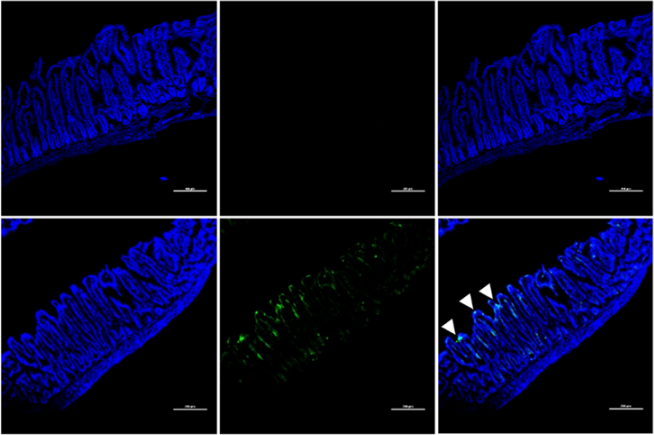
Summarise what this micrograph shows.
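Section of small intestinal wall showing tall, slender villi standing in a regular parallel row. Each villus is lined by a continuous layer of epithelial cells whose nuclei form a dense blue border, with a looser core of nuclei inside. A thin band of tissue at the base carries the villi. Green puncta lie along the villus surfaces and tips in the lower row, absent in the upper row.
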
